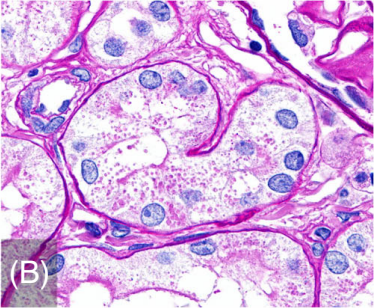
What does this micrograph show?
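This high-power view shows a renal tubule cut in cross-section, lined by proximal tubular epithelial cells. The cells are large, with round to oval blue nuclei with fine chromatin and visible nucleoli. A sharp magenta basement membrane surrounds the tubule, and neighbouring tubules with similar granular cells lie at the edges. Thin interstitial tissue with a few elongated nuclei separates the tubules.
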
